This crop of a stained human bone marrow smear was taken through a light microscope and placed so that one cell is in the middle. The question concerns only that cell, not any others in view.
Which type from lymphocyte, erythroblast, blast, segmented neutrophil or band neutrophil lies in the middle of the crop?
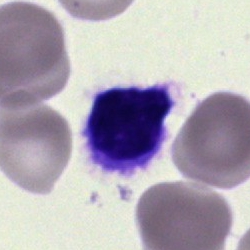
lymphocyte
